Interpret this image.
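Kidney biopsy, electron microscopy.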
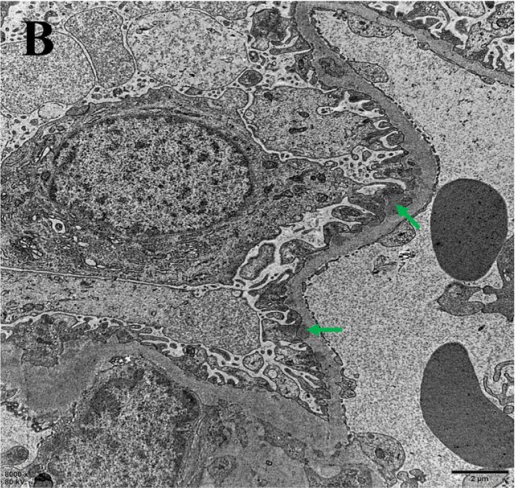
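This is a glomerular capillary wall seen by electron microscopy, with the capillary lumen holding two dark red blood cells on one side and a podocyte with its nucleus on the other. In places the foot processes are broadened and flattened against the wall rather than standing as separate small feet.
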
